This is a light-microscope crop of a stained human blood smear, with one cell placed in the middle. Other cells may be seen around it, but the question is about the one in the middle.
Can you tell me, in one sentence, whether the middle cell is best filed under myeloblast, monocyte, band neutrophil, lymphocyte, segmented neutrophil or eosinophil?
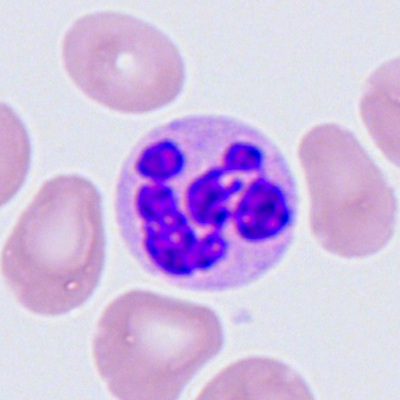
The middle of this crop holds a segmented neutrophil.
